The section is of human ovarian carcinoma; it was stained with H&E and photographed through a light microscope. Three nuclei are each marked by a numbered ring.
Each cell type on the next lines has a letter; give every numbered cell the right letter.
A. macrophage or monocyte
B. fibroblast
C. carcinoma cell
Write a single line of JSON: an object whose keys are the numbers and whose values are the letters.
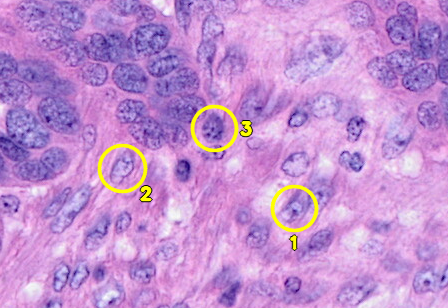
{"1": "B", "2": "B", "3": "A"}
